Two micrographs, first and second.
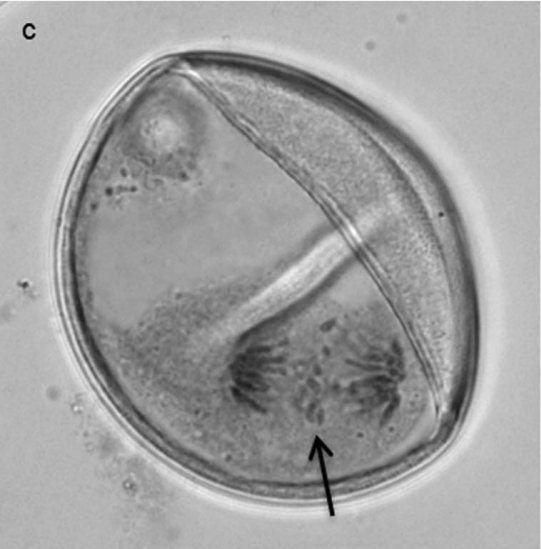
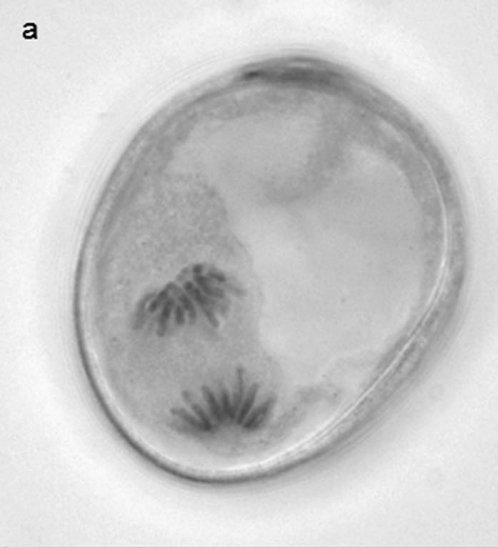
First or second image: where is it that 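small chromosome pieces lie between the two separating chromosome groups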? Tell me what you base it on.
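Second image: the space between the two chromosome groups is clear of small dark bodies. First image: small dark dots lie scattered between the two chromosome groups.
Hence: the first image.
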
